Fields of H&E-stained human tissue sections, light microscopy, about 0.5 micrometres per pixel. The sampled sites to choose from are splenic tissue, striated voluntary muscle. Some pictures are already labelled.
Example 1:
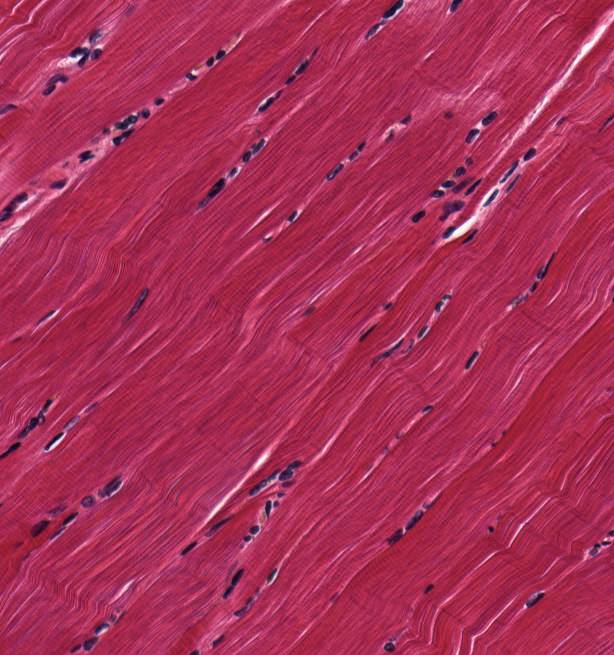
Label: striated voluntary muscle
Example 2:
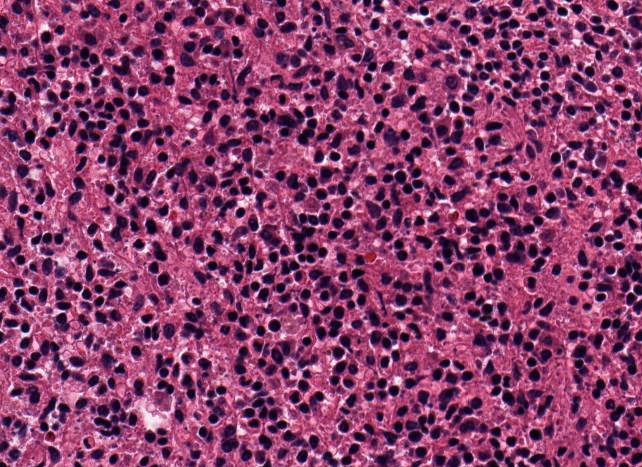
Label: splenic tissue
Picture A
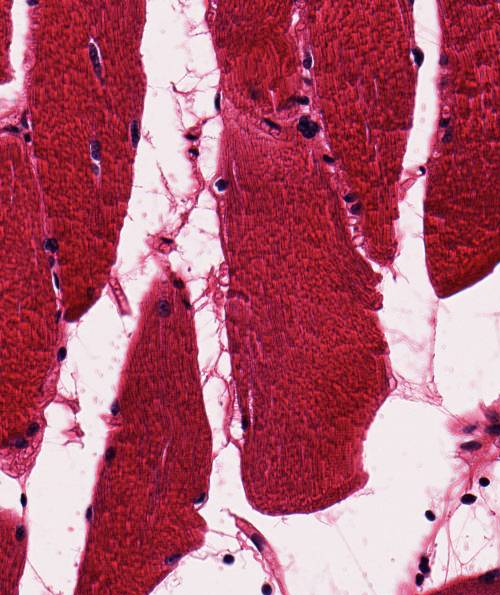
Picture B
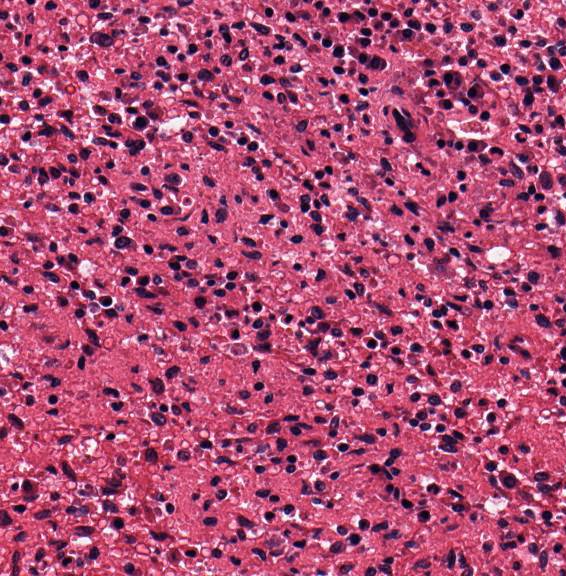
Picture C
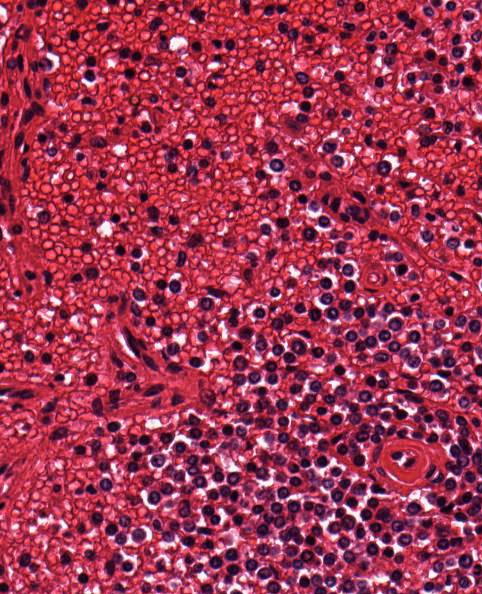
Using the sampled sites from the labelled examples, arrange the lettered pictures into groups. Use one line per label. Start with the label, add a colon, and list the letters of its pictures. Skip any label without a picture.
splenic tissue: B, C
striated voluntary muscle: A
